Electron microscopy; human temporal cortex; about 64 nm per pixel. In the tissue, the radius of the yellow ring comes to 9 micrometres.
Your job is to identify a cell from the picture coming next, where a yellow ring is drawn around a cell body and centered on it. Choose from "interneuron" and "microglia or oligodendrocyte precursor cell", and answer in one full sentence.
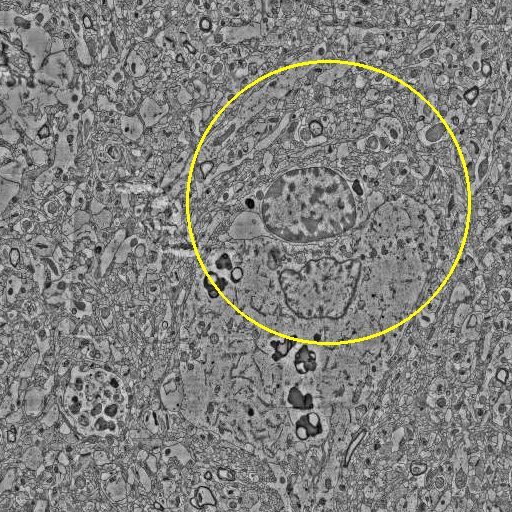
Centered in the yellow ring of the picture is the body of a microglial cell or oligodendrocyte precursor cell.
